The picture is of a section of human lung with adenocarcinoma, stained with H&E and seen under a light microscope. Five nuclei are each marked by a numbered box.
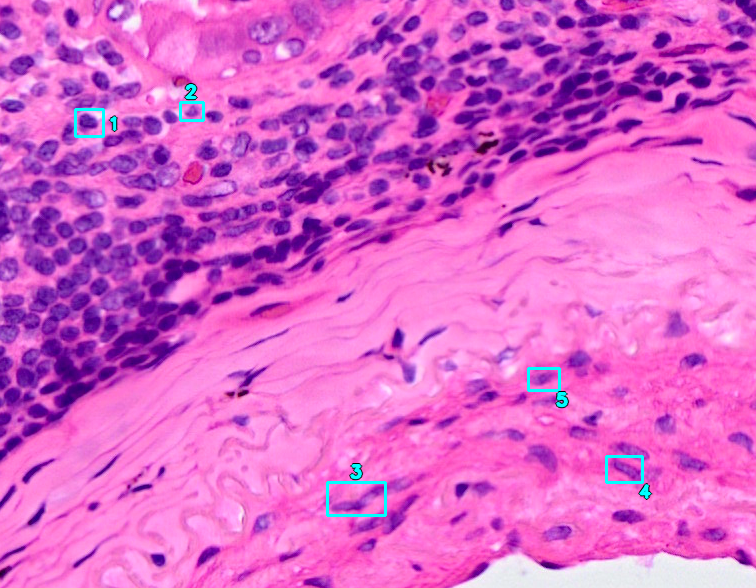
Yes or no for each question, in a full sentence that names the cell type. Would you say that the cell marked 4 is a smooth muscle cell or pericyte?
Yes, the cell sitting at number 4 is a smooth muscle cell or pericyte.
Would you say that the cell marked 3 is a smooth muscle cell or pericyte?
Yes, that is correct: the cell numbered 3 is a smooth muscle cell or pericyte.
